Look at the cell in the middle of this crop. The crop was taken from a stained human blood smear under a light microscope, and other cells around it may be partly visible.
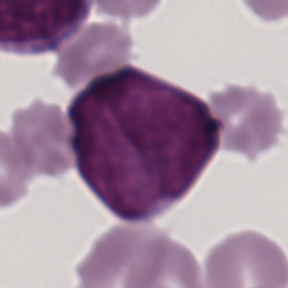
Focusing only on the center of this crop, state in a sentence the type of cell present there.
The cell at the heart of this crop is a myeloblast.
